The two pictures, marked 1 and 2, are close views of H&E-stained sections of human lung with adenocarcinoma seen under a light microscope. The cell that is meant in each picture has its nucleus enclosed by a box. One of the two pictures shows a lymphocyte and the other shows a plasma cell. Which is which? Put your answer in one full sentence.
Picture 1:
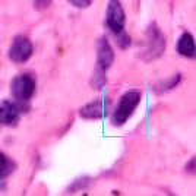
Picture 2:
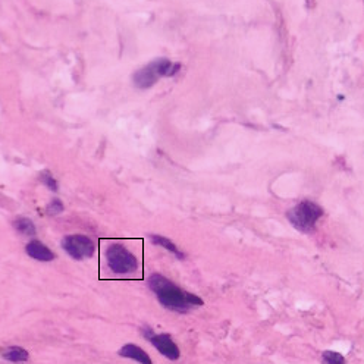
Picture 1 is of a lymphocyte, and picture 2 is of a plasma cell.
